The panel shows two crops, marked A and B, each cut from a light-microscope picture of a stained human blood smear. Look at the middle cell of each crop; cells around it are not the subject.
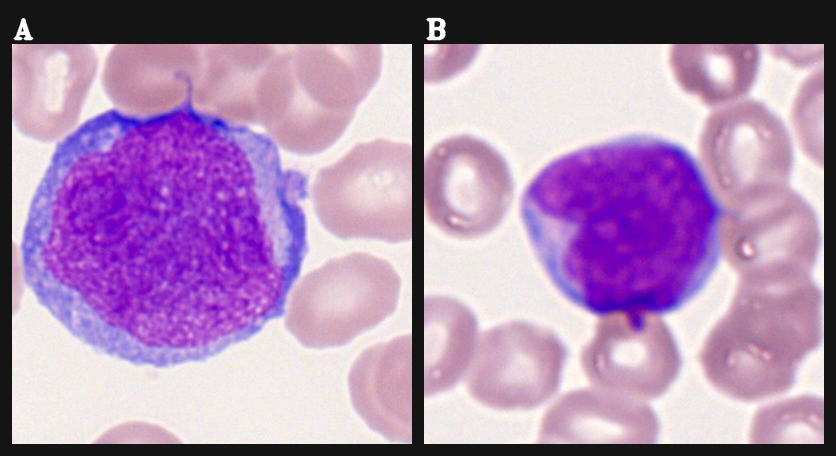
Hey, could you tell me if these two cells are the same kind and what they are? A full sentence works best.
Yes, the cells at the centre of both crops are myeloblasts.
